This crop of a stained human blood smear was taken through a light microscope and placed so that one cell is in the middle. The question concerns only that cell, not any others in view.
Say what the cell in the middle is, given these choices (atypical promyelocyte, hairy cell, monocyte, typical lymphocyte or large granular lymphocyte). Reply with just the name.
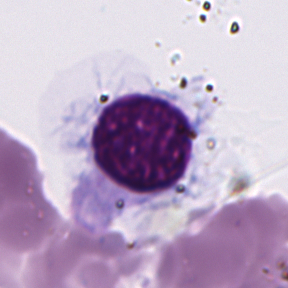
hairy cell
